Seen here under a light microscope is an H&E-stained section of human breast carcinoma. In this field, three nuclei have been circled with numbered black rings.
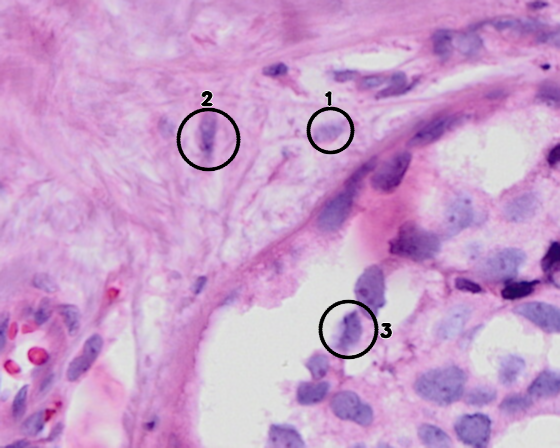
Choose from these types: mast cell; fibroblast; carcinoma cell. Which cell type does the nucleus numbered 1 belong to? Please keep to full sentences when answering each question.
The numbered cell 1 is identified here as a fibroblast.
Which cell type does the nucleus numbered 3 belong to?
The mark numbered 3 indicates the nucleus of a carcinoma cell.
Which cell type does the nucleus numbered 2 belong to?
The nucleus labelled 2 belongs to a fibroblast.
